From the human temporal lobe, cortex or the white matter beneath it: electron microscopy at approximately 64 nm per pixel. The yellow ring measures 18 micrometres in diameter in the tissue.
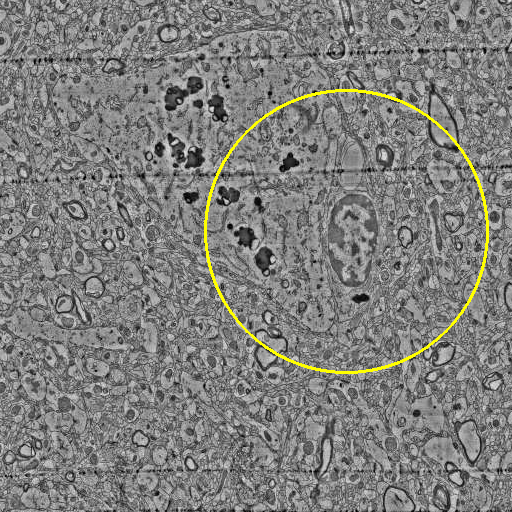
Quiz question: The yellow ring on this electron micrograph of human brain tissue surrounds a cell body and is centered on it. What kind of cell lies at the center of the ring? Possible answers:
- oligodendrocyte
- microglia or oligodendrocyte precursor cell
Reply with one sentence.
The ring's center lies on a microglial cell or oligodendrocyte precursor cell.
